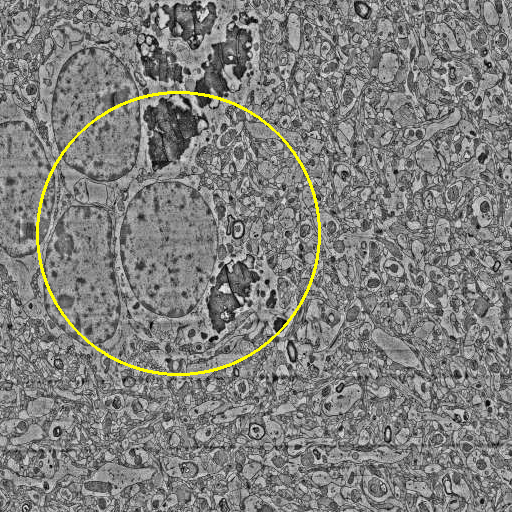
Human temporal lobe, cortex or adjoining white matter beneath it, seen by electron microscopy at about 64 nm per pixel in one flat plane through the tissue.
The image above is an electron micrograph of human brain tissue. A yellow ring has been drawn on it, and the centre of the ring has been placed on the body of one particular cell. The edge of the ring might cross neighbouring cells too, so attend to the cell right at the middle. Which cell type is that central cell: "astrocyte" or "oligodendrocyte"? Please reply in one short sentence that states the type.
The central cell in the ring is an astrocyte.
